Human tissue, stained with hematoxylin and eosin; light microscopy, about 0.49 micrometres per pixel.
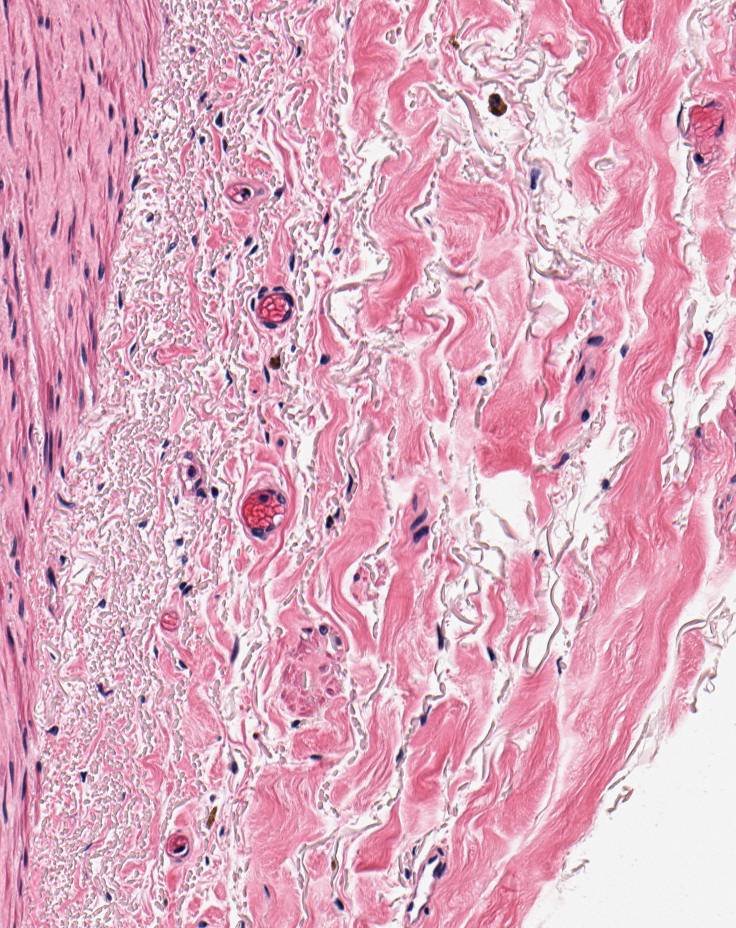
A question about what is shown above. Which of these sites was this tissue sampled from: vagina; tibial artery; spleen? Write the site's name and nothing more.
tibial artery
